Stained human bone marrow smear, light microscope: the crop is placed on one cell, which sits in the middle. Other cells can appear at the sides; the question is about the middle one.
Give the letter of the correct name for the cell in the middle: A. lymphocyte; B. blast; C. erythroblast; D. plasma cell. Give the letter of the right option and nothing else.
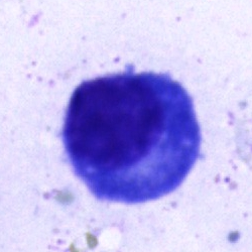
D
